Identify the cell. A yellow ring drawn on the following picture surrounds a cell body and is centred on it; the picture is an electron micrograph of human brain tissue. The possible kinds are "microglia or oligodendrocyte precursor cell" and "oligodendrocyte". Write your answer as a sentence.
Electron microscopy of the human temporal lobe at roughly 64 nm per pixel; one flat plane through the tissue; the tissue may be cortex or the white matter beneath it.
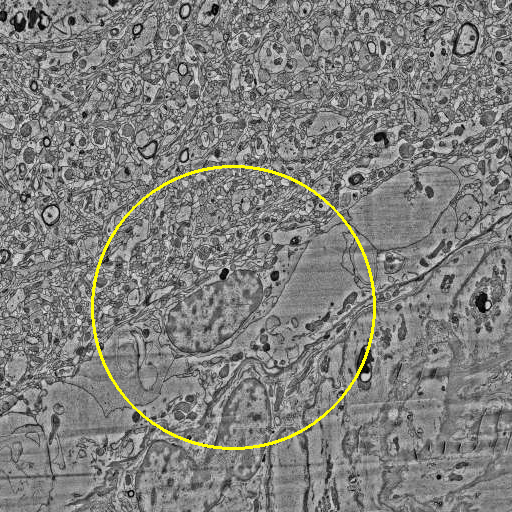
The cell identified by the ring is a microglial cell or oligodendrocyte precursor cell.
